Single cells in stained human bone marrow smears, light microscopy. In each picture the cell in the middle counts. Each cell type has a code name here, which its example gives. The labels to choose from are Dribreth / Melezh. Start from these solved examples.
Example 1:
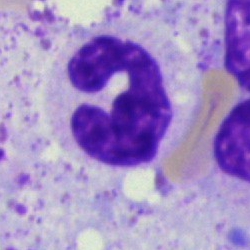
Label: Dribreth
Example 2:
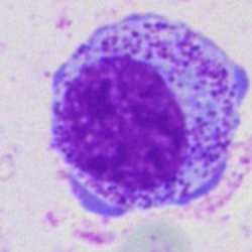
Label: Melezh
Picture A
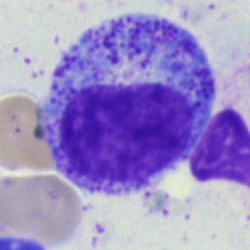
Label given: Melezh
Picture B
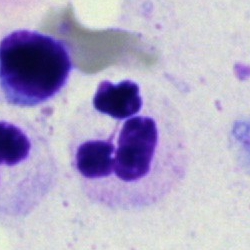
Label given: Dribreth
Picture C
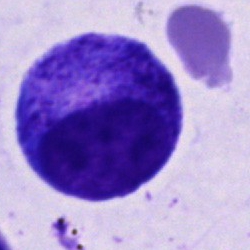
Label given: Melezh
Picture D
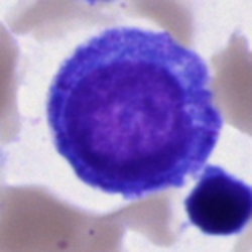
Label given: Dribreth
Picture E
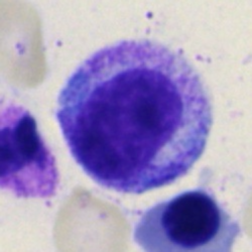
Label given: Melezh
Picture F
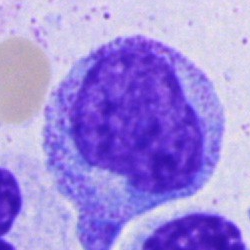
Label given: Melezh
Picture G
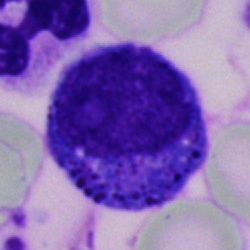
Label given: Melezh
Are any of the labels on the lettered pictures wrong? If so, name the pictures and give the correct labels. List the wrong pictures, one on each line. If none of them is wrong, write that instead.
D should be Melezh, not Dribreth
